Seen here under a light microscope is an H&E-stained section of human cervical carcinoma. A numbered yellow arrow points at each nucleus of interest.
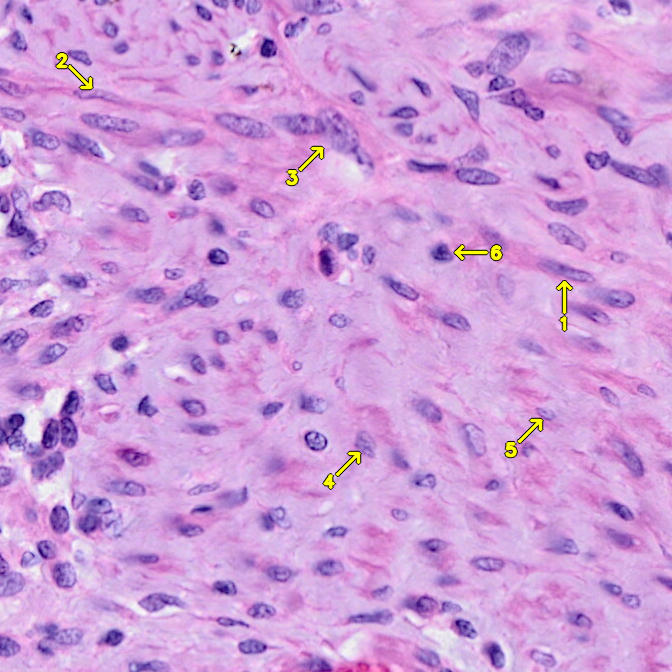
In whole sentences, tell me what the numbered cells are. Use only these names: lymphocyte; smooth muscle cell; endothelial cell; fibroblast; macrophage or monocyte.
Cells 1, 2, 4 and 5 are smooth muscle cells. Cell 3 is an endothelial cell. Cell 6 is a lymphocyte.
